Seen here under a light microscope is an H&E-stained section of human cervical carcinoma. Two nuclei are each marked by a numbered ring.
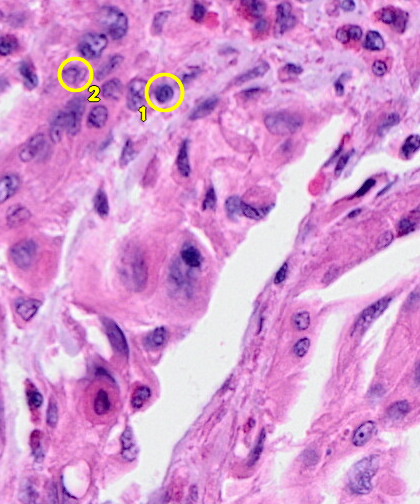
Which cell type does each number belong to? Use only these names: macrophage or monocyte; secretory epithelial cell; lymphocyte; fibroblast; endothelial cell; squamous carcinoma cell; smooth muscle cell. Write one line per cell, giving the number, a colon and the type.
1: lymphocyte
2: squamous carcinoma cell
